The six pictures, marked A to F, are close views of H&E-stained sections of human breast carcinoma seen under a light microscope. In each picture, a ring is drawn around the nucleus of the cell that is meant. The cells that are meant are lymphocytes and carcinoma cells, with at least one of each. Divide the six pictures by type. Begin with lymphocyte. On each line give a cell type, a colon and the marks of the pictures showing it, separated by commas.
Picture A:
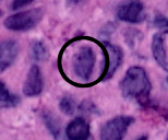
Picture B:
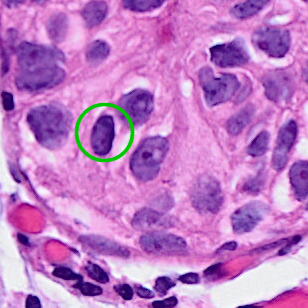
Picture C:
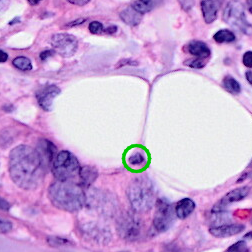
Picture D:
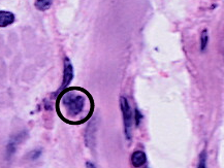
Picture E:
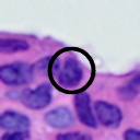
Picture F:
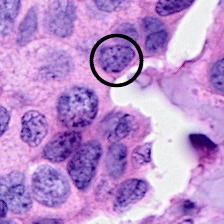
lymphocyte: C, D
carcinoma cell: A, B, E, F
